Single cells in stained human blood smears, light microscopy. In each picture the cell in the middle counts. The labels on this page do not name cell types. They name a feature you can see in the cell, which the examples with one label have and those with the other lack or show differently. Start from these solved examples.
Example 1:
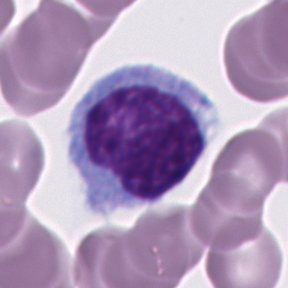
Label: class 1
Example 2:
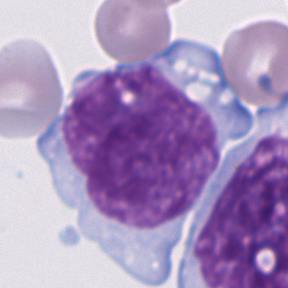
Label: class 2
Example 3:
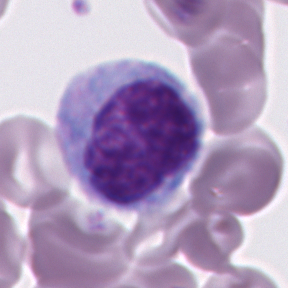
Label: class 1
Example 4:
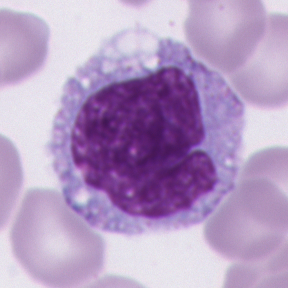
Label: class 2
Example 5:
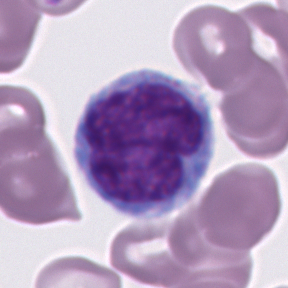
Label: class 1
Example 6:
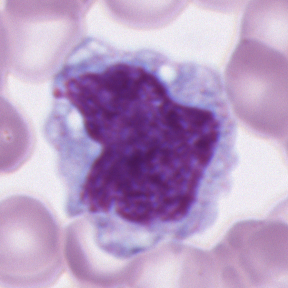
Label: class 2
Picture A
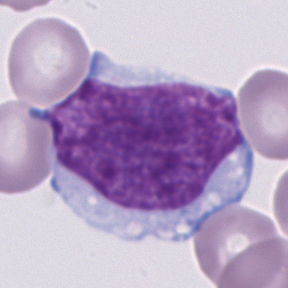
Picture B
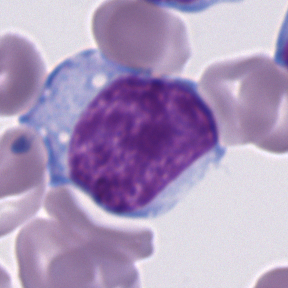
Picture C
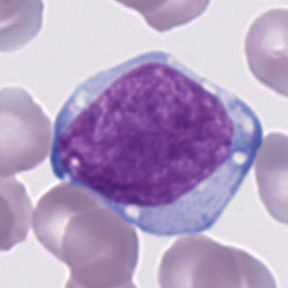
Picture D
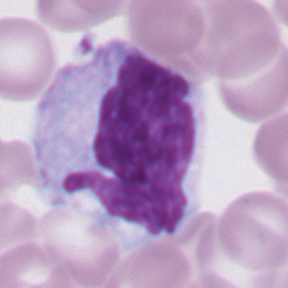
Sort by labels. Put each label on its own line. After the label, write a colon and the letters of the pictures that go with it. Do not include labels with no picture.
class 1: D
class 2: A, B, C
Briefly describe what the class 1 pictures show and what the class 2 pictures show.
Seen in class 1: no vacuoles; seen in class 2: vacuoles present.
